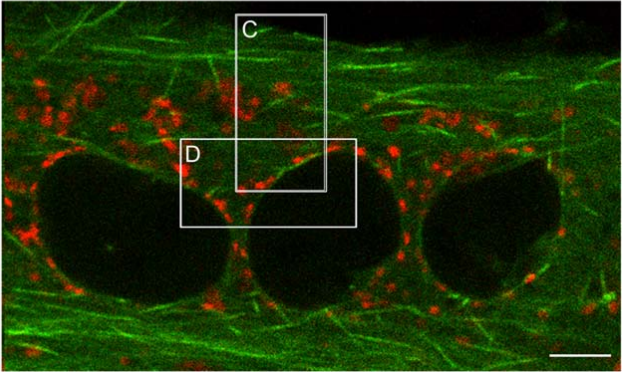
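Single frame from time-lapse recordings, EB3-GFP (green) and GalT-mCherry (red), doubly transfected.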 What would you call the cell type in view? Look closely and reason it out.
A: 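Several large dark oval nuclei lie in a row within one continuous cytoplasm. Long green filaments run lengthwise across the field. The answer: myotube.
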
